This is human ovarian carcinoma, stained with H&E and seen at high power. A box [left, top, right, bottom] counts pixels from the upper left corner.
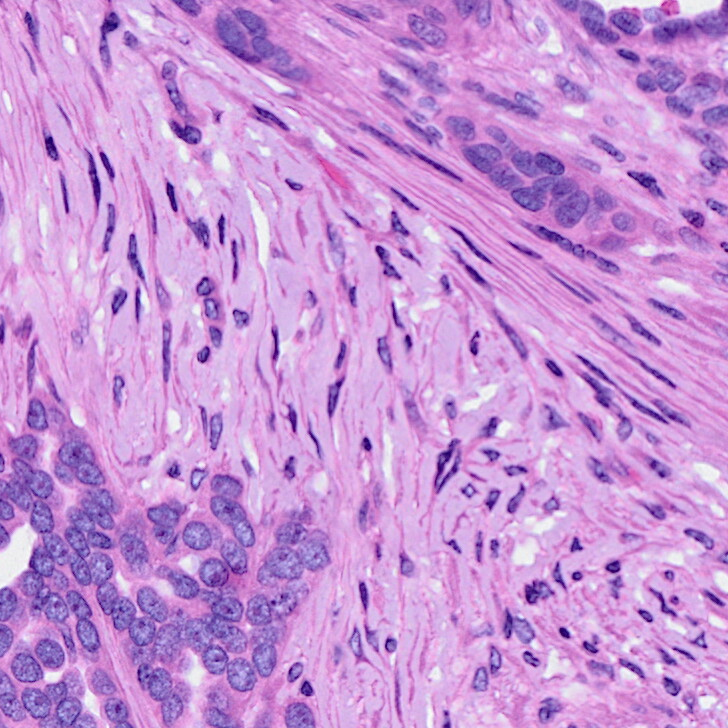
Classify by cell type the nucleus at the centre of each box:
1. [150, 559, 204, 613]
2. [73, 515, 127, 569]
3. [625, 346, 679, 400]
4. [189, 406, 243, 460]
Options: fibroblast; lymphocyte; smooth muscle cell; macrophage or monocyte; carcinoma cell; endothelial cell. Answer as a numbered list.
1. carcinoma cell
2. carcinoma cell
3. fibroblast
4. fibroblast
